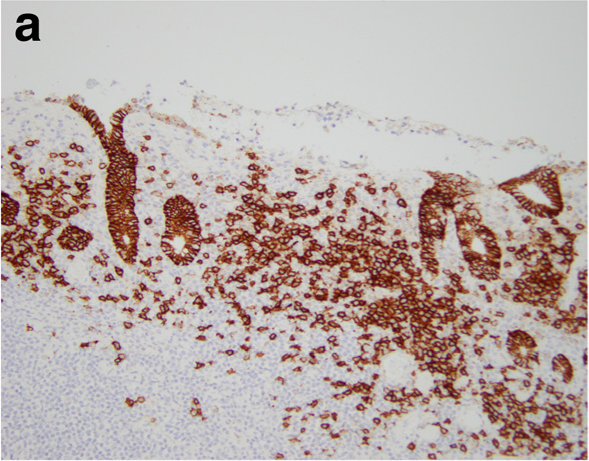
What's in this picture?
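Mucosa with dense clusters of plasma cells in the upper stroma near the surface. Numerous small round cells show crisp brown membrane rings and lie packed in sheets between glands. Gland epithelium is also outlined brown, forming tubular and round cross-sections. The surface is partly lost, with a thin frayed layer at top. Deeper tissue below is a dense field of small blue nuclei with few brown cells, only scattered ones at the border. Stroma between the stained cells is pale with small vessels.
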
